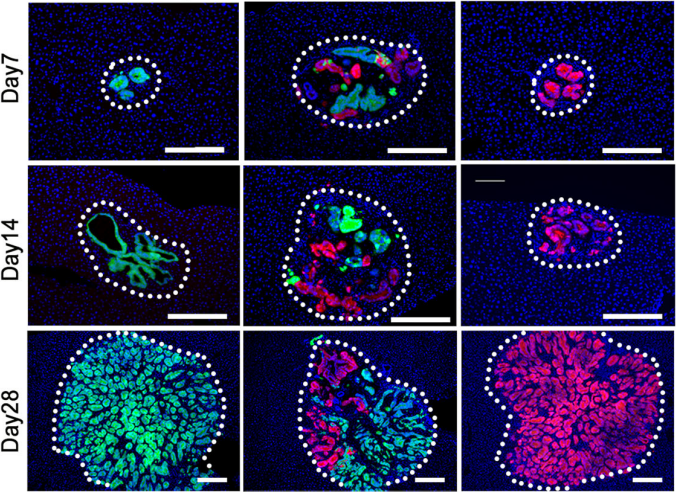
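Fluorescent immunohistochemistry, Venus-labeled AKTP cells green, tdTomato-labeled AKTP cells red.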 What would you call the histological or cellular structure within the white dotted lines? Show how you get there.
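Each dotted outline encloses a compact cluster of green and/or red glandular structures. Outside the outlines the tissue is a uniform field of evenly spaced blue nuclei without green or red label. The outlined clusters are larger in the bottom row than in the top row. That points to this answer: Tumor foci.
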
